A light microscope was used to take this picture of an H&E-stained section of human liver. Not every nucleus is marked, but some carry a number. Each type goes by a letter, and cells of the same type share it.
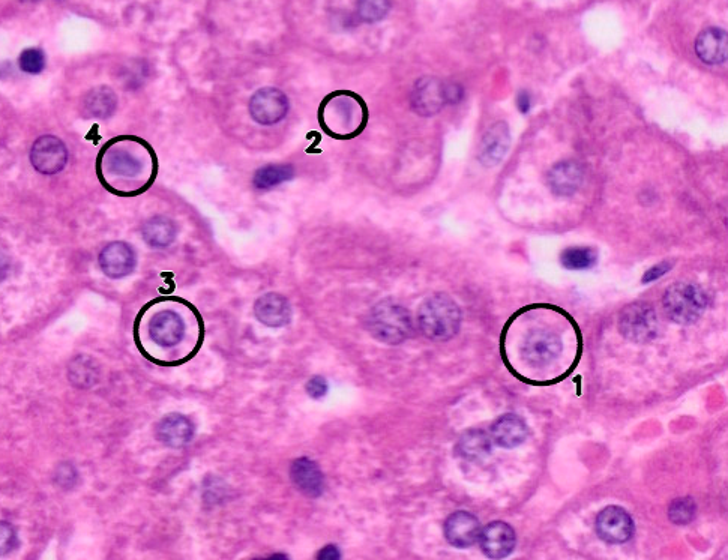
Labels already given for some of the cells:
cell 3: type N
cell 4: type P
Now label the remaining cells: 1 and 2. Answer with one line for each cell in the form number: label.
1: type N
2: type P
